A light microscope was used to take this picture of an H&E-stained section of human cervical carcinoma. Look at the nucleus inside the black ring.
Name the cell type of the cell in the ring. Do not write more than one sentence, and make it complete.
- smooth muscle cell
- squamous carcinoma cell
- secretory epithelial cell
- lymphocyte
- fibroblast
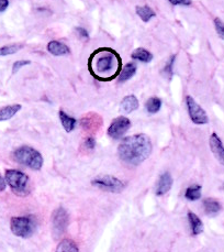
Microscopically, the cell in the ring is categorized as a fibroblast.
